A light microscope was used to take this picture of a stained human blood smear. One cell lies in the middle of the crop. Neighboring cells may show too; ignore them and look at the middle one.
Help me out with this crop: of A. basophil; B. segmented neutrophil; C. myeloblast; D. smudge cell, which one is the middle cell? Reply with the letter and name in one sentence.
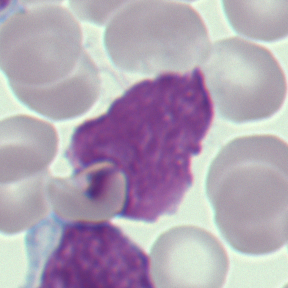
Option D is accurate; the centrally placed cell is a smudge cell.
